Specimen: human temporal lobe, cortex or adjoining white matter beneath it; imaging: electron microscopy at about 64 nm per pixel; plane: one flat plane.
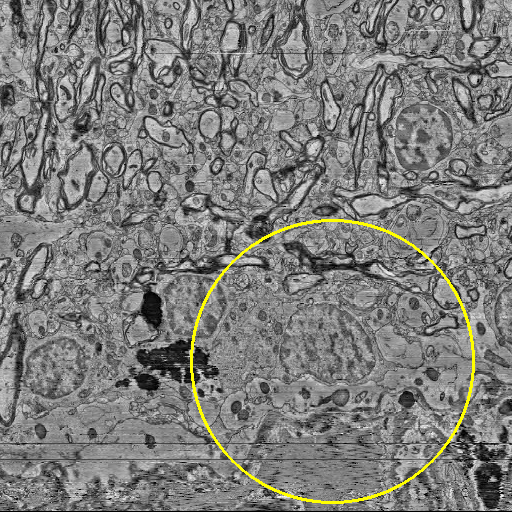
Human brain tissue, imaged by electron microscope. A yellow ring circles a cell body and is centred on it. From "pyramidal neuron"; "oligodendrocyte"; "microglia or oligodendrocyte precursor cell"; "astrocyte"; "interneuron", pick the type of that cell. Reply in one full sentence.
The cell body at the centre of the yellow ring belongs to an oligodendrocyte.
